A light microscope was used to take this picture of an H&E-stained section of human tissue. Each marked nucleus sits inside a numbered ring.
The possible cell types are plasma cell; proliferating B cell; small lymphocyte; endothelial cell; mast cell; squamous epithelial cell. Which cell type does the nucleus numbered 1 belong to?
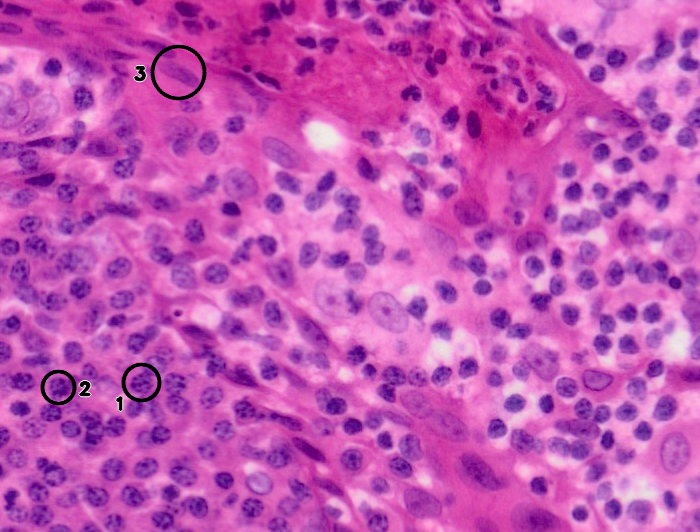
plasma cell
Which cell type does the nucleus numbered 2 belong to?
plasma cell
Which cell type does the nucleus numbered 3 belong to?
squamous epithelial cell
